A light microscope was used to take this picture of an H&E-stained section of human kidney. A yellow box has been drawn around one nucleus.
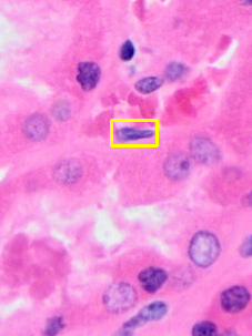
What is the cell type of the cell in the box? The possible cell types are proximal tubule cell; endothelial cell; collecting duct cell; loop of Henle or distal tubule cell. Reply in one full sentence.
In the stained section, the cell in the box is an endothelial cell.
